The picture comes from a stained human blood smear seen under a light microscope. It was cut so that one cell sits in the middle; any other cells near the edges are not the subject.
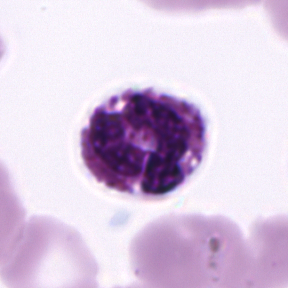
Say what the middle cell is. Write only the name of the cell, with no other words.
eosinophil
